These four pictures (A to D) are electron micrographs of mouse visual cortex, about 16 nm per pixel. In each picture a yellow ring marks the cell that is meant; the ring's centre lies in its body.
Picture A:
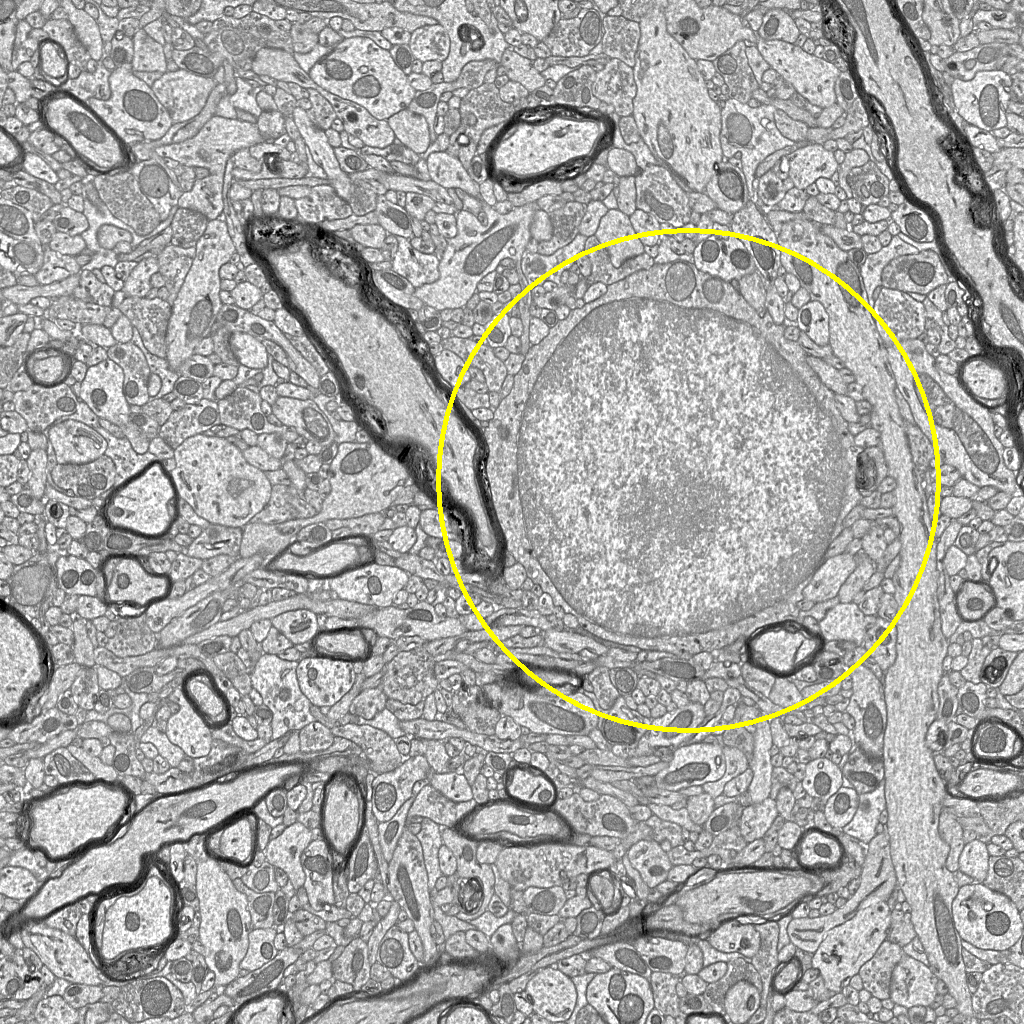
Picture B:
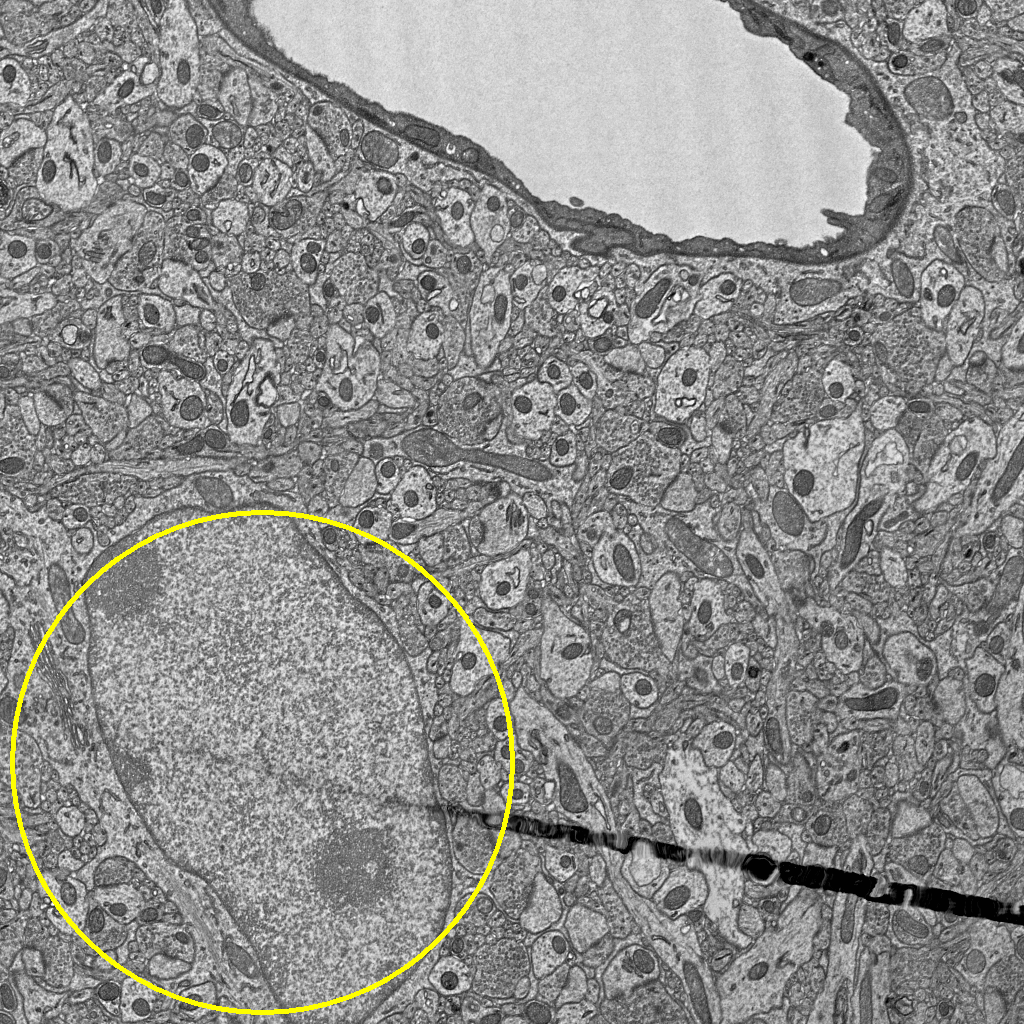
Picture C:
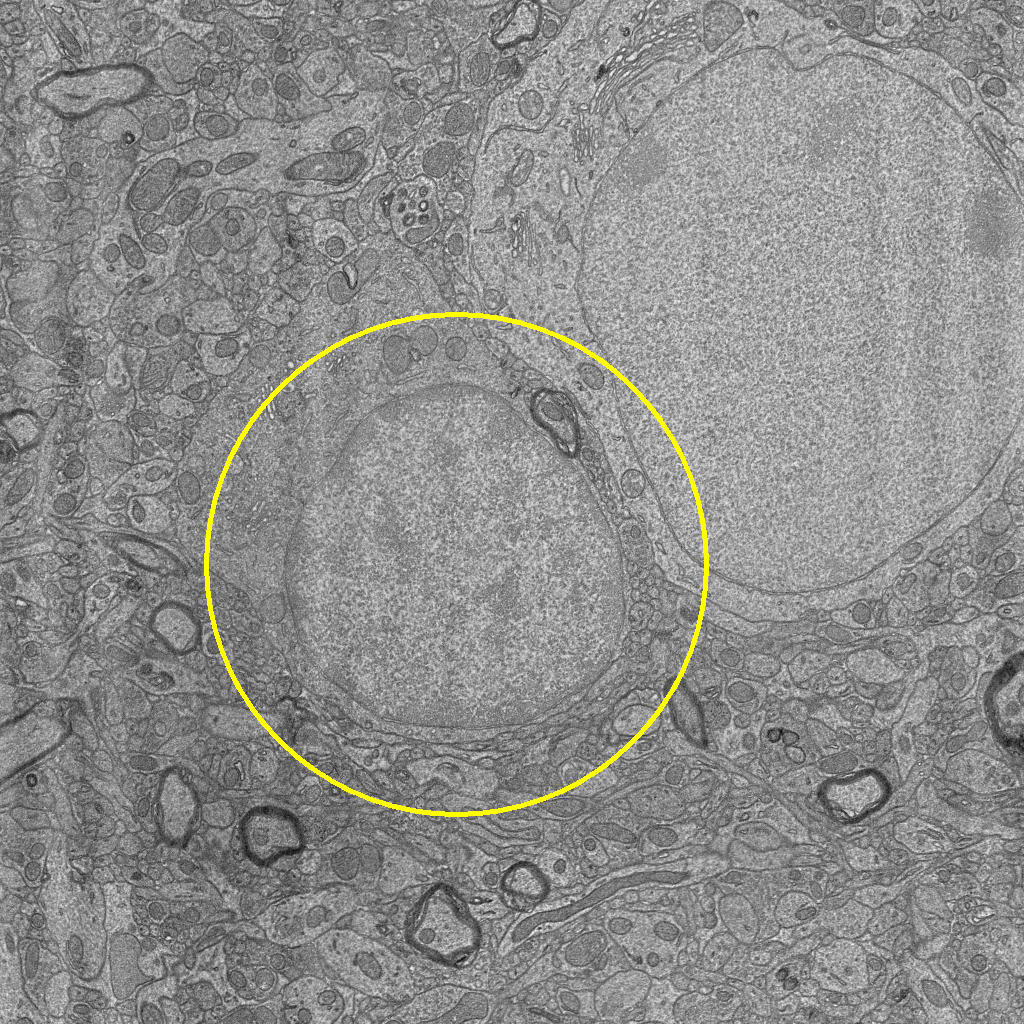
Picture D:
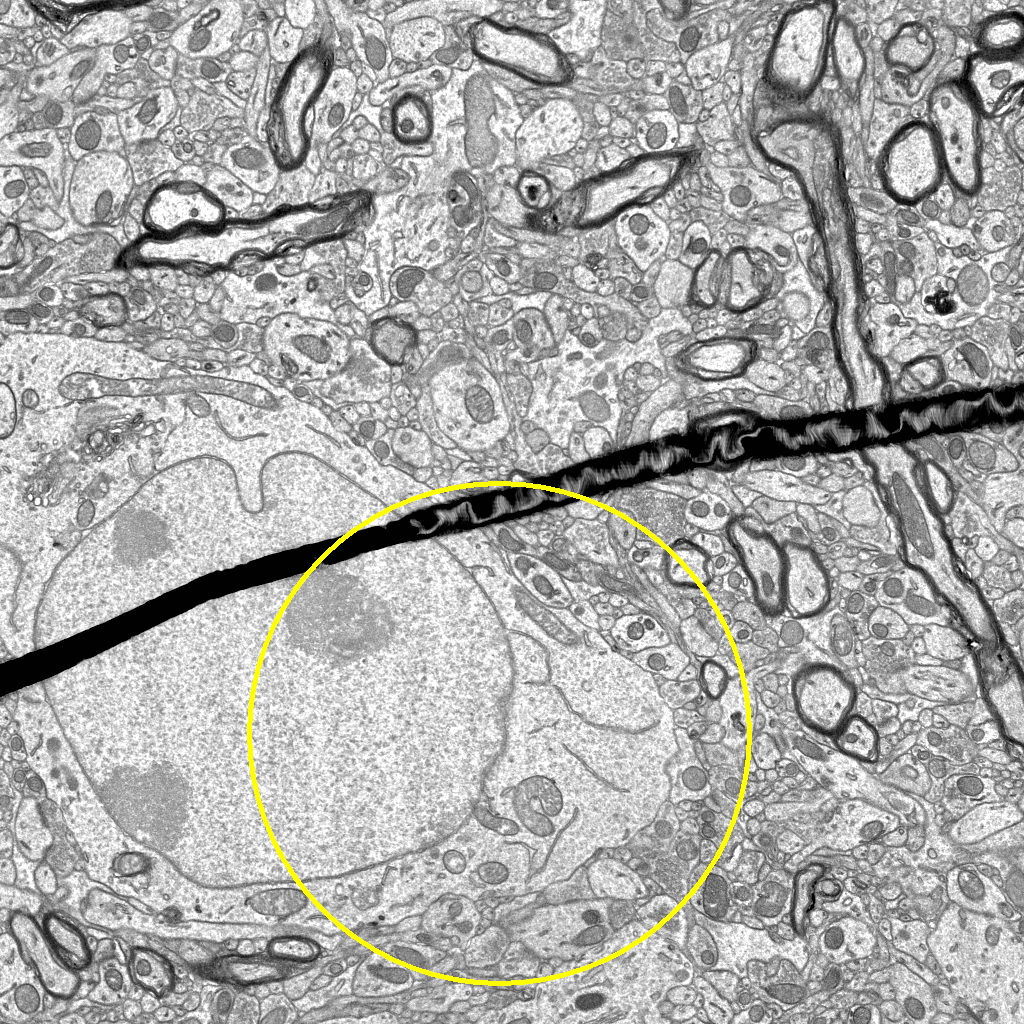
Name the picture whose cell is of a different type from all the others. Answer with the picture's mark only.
B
